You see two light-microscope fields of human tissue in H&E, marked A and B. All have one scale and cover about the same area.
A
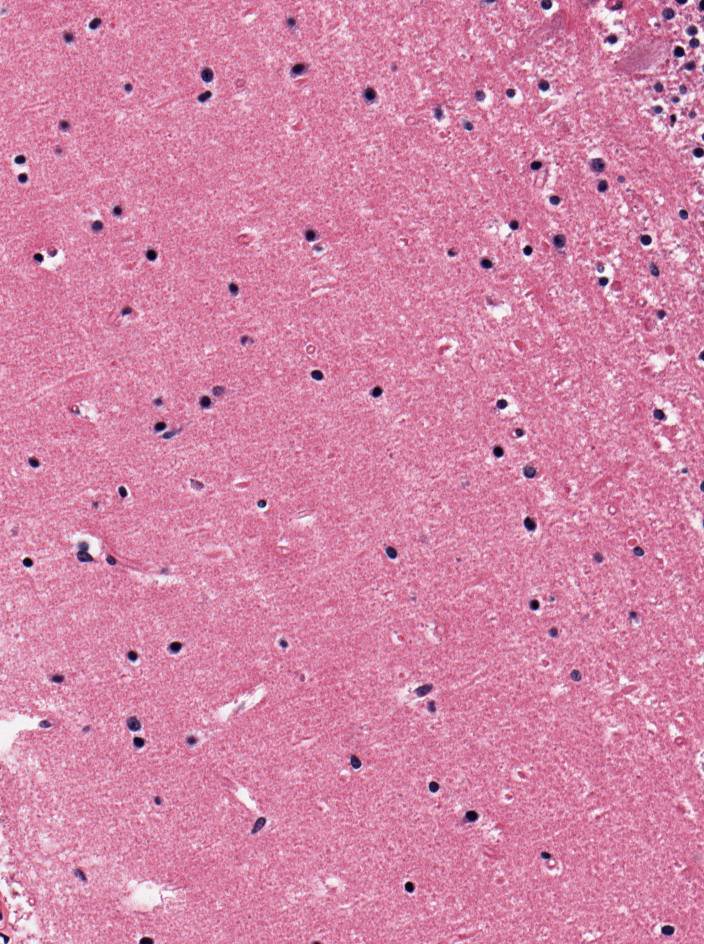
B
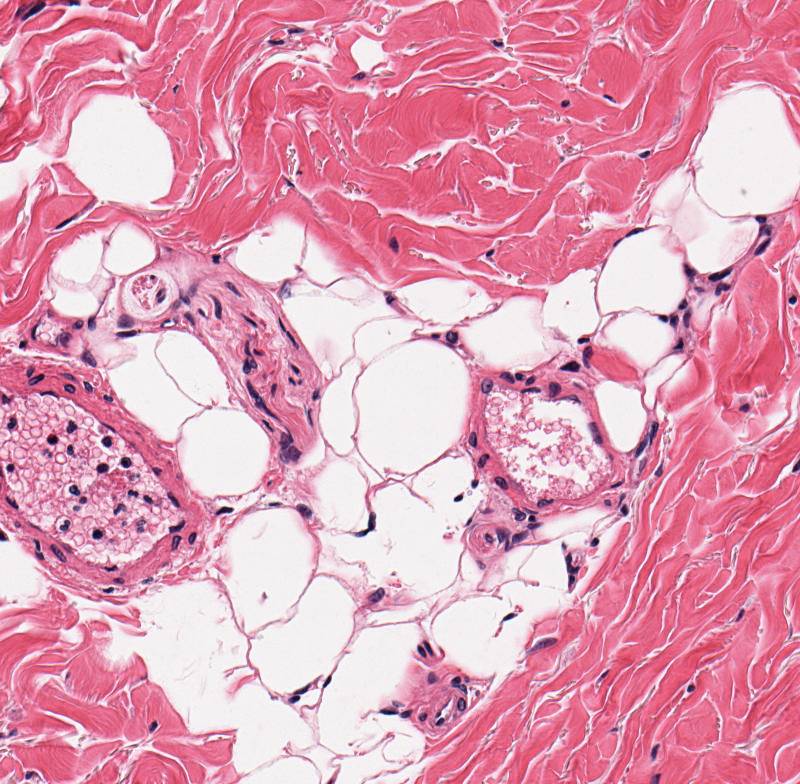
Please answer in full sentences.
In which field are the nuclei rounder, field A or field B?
It is field A whose nuclei are the rounder.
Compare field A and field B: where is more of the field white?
More of field B is empty and white.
